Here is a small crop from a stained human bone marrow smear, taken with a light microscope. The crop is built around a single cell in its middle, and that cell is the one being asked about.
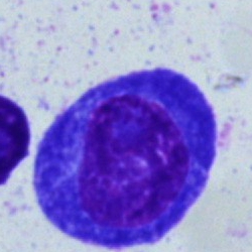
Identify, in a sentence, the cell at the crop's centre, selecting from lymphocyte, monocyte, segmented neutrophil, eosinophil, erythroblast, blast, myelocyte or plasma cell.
Whatever else lies nearby, the middle cell is a plasma cell.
